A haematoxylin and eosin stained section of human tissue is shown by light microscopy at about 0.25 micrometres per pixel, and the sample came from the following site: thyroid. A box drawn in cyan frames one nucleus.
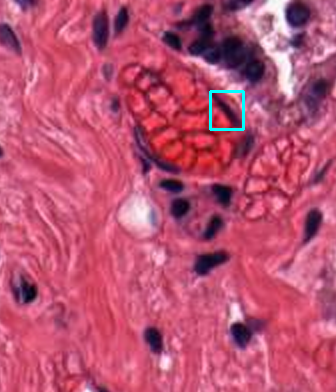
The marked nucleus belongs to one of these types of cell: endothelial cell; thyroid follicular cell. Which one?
endothelial cell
